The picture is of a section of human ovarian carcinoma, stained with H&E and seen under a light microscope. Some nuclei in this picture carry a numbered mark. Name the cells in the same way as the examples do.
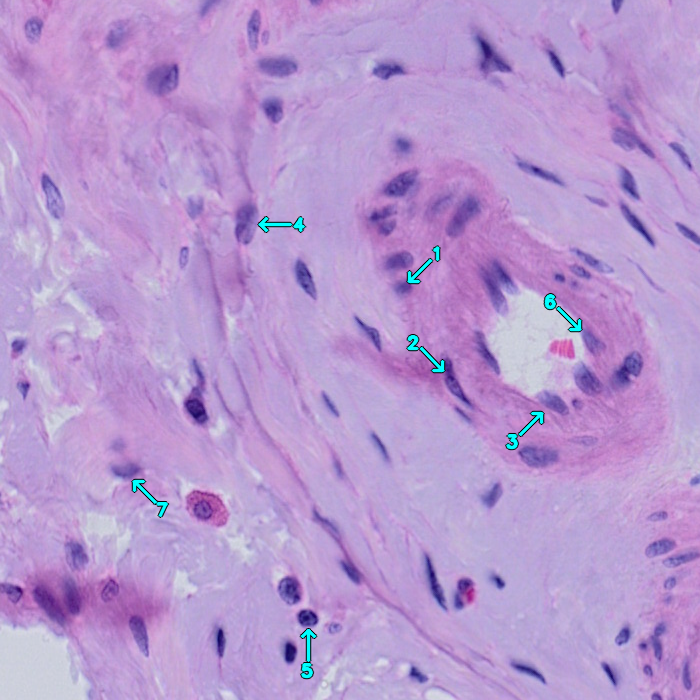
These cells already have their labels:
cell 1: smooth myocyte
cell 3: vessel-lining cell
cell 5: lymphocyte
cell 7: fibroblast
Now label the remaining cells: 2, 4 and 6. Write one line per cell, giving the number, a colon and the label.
2: smooth myocyte
4: fibroblast
6: vessel-lining cell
